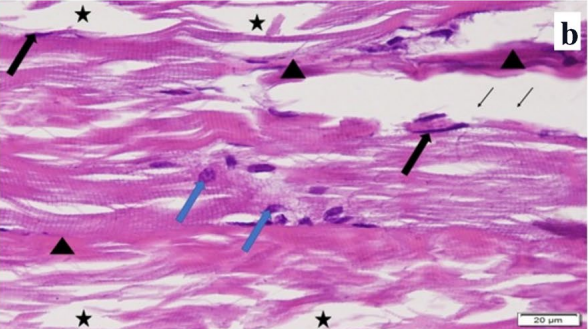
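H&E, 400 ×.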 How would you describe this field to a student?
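The striated fibres here are disorganised and frayed, with pale empty spaces where myofibrils have been lost and wide gaps between fibres. Several nuclei are small and darkly stained, and some nuclei sit inside the fibres rather than at their edges.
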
